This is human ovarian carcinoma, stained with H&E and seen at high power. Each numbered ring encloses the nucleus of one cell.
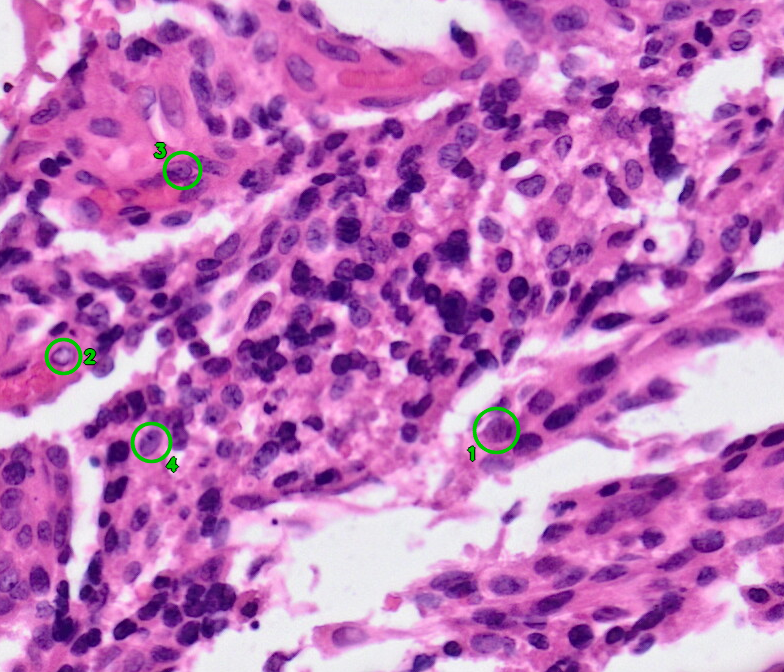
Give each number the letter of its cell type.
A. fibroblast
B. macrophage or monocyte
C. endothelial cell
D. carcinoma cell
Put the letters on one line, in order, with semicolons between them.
D; C; C; B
